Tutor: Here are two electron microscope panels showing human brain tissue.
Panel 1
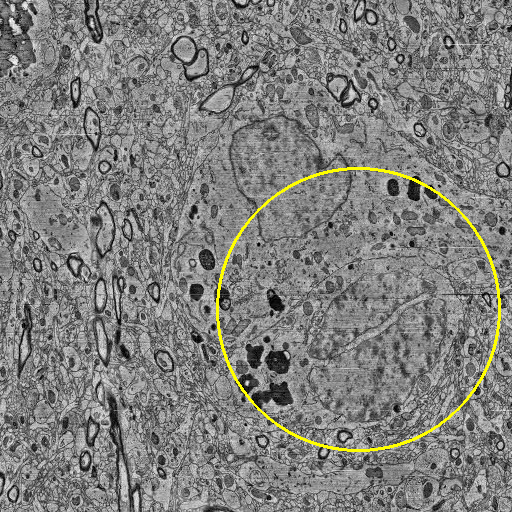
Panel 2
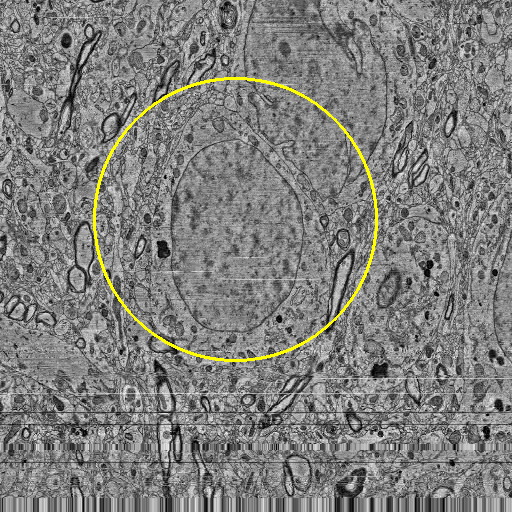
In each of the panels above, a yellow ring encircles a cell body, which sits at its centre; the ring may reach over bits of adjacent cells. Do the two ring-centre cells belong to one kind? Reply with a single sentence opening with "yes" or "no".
No, the two cells sitting at the ring centres in the panels belong to two kinds.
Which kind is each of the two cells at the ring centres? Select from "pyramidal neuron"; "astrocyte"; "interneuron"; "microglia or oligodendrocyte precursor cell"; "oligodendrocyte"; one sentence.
The cell at the centre of the ring is an interneuron in the first picture and a pyramidal neuron in the second.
